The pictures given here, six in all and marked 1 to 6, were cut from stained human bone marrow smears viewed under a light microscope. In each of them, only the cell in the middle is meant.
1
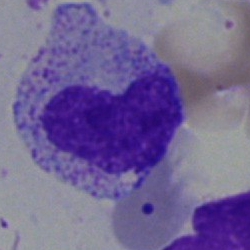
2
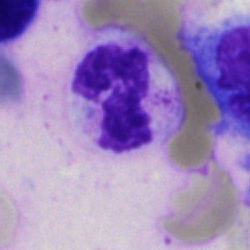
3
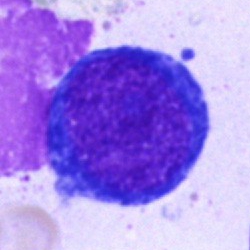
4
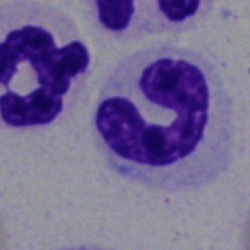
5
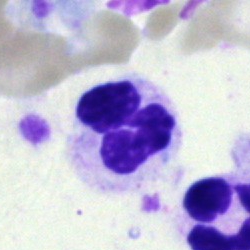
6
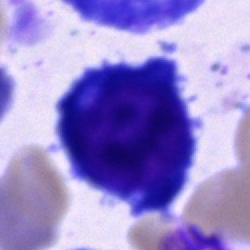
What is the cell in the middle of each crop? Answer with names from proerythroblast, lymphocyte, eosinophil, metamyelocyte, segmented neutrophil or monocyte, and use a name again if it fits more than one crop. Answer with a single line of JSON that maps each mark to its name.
{"1": "metamyelocyte", "2": "segmented neutrophil", "3": "proerythroblast", "4": "segmented neutrophil", "5": "segmented neutrophil", "6": "proerythroblast"}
